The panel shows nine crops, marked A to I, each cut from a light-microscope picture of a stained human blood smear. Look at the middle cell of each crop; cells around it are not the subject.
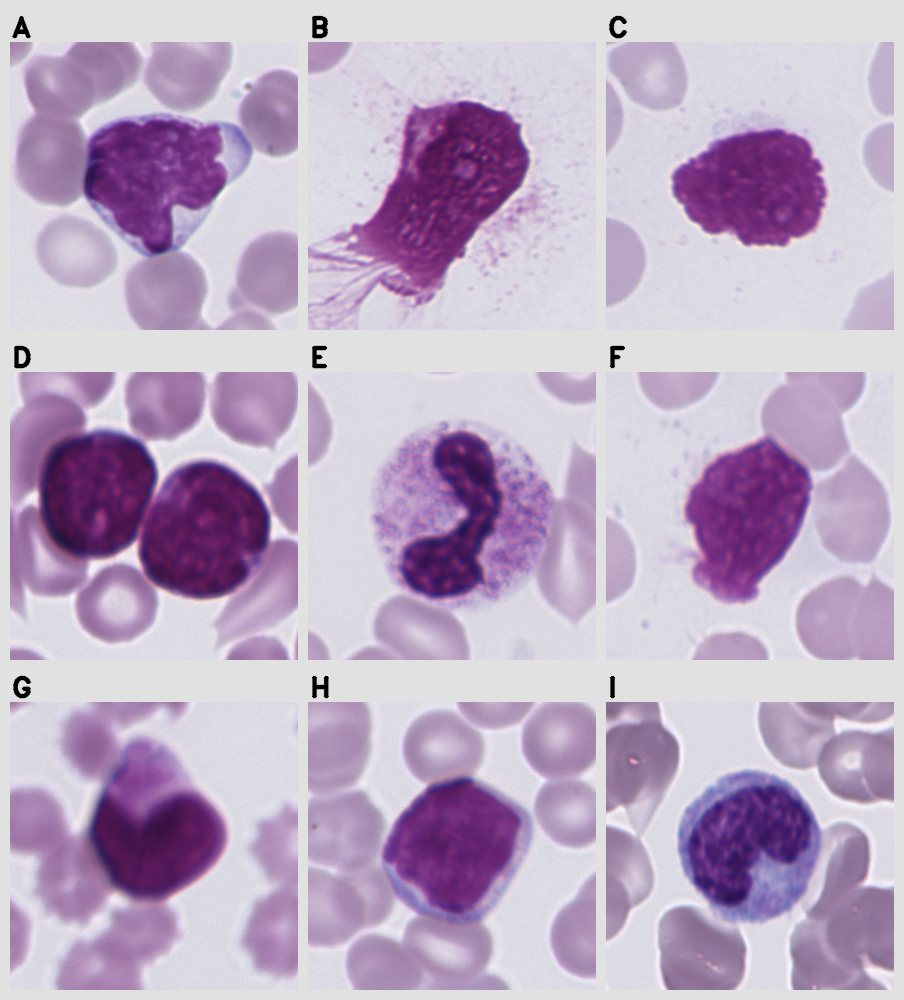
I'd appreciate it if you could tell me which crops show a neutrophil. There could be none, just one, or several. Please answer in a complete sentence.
Of the central cells across all crops, only that of crop E is a neutrophil.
